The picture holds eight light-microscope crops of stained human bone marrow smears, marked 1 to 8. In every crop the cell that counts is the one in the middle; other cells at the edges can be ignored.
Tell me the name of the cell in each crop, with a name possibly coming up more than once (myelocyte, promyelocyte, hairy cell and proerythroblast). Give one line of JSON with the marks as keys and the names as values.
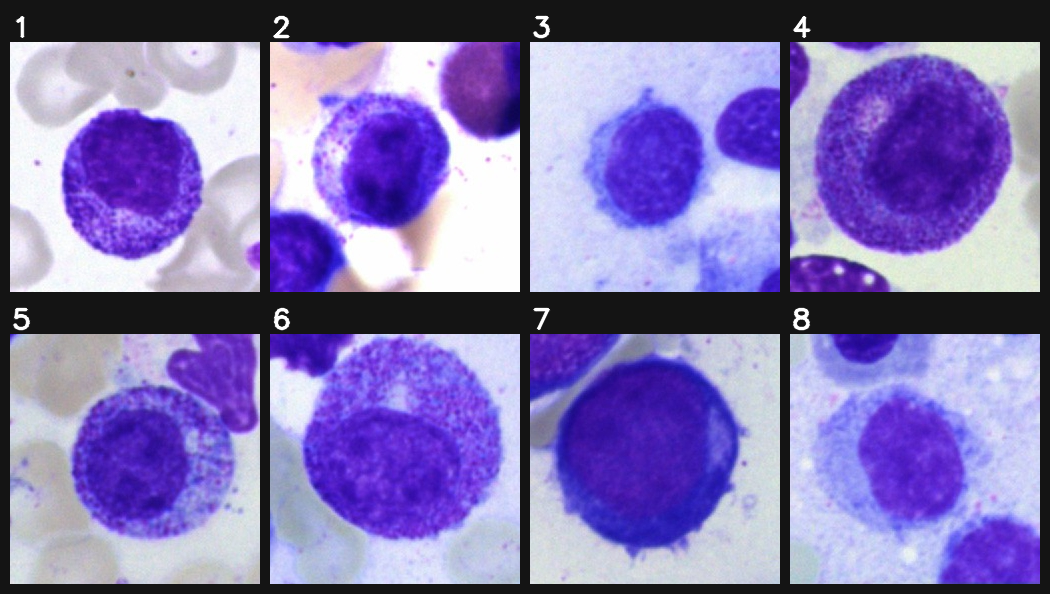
{"1": "myelocyte", "2": "myelocyte", "3": "hairy cell", "4": "promyelocyte", "5": "promyelocyte", "6": "myelocyte", "7": "proerythroblast", "8": "hairy cell"}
